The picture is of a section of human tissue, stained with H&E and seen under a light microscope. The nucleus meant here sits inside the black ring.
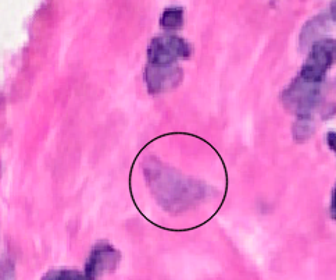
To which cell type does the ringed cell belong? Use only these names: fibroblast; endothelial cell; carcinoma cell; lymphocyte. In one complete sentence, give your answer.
It is as a fibroblast that the ringed cell is classified.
